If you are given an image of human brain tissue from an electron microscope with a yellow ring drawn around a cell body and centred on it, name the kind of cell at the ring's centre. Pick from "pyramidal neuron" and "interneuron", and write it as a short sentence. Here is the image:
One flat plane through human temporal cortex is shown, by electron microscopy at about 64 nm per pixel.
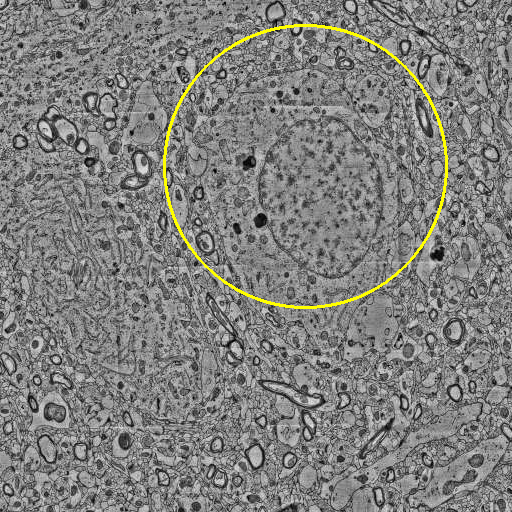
The cell at the ring's centre is an interneuron.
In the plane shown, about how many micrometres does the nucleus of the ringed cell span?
Approximately 10 x 8 micrometres in this plane.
